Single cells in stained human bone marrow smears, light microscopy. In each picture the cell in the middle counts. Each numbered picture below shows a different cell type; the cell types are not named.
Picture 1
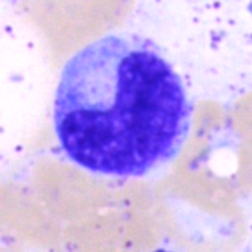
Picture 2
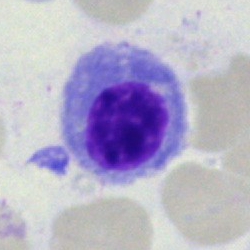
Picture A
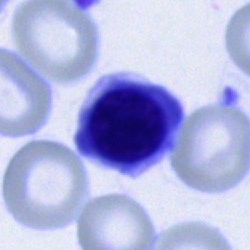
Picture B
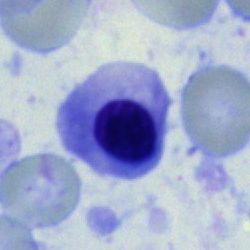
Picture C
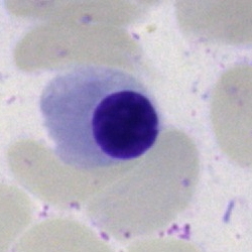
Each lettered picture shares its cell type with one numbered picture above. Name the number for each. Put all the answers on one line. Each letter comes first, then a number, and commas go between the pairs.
A 2, B 2, C 2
